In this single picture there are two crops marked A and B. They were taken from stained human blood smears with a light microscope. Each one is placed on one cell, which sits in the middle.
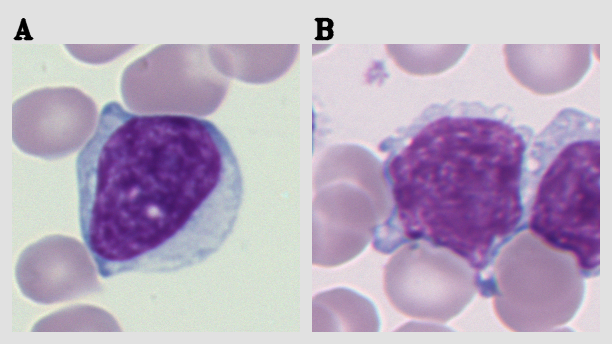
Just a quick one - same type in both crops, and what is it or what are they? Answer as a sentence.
No, crop A has a blast in the middle, and crop B has a lymphocyte.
